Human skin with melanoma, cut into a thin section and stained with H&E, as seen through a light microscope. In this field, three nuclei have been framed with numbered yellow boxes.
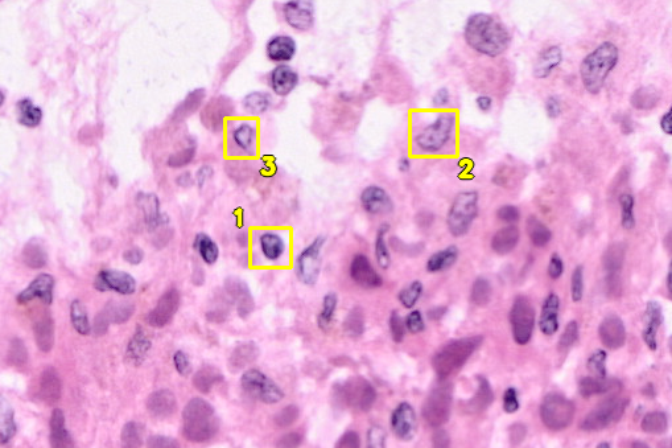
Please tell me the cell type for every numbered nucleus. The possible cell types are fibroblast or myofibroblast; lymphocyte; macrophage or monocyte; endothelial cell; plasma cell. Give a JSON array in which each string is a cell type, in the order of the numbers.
["lymphocyte", "macrophage or monocyte", "macrophage or monocyte"]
